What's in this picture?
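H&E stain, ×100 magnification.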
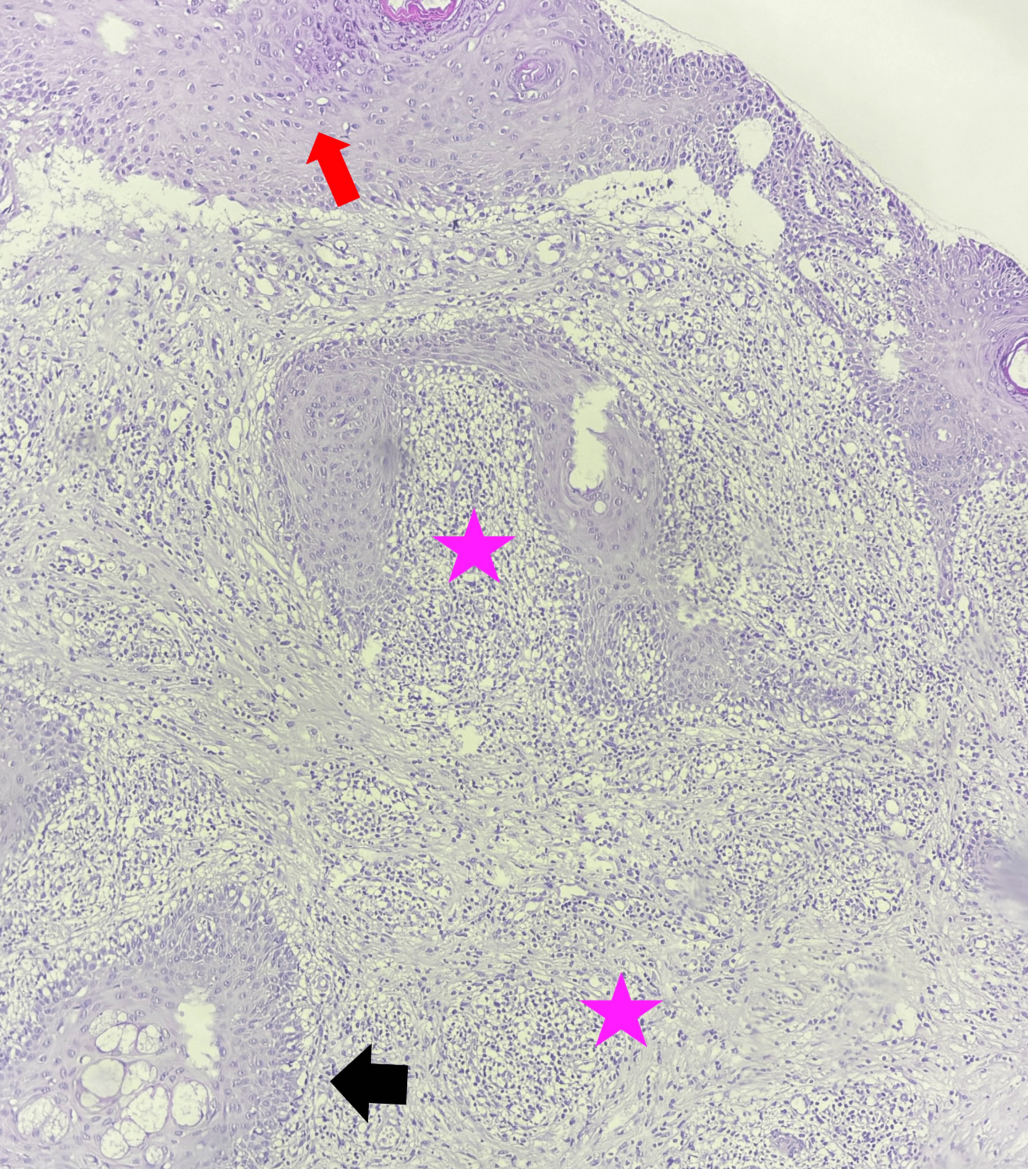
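This is skin stained pink and purple. Along the top runs the stratified squamous epidermis, and in its lower part pale clear spaces separate the keratinocytes. The dermis beneath is crowded with dense collections of small round lymphoid cells with dark nuclei, which cluster in nodules around hair follicle and gland structures, including a sebaceous gland with foamy pale cells at the lower left.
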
